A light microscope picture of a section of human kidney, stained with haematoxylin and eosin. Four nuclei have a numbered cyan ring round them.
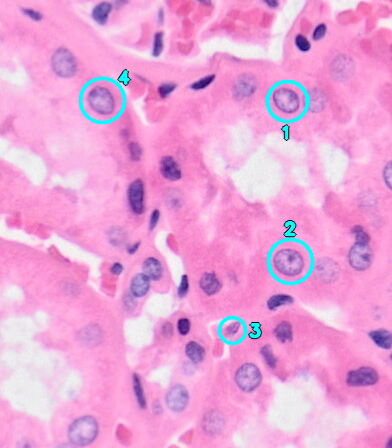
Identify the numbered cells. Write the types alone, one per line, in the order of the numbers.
proximal tubule cell
proximal tubule cell
endothelial cell
proximal tubule cell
